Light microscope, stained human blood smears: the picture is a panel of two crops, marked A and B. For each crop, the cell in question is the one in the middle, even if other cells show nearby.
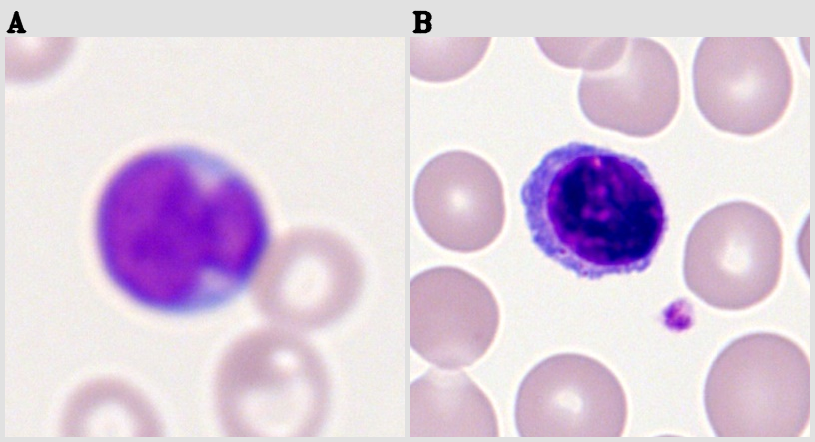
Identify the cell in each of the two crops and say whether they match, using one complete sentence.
No, it is in crop A that a blast is shown, and in crop B that a lymphocyte is shown.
